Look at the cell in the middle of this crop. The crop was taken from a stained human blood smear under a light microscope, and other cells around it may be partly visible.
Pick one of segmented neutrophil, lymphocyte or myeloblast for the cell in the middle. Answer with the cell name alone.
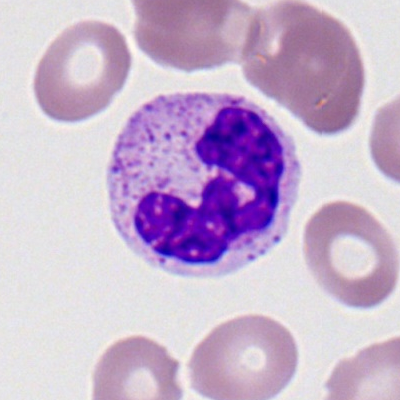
segmented neutrophil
